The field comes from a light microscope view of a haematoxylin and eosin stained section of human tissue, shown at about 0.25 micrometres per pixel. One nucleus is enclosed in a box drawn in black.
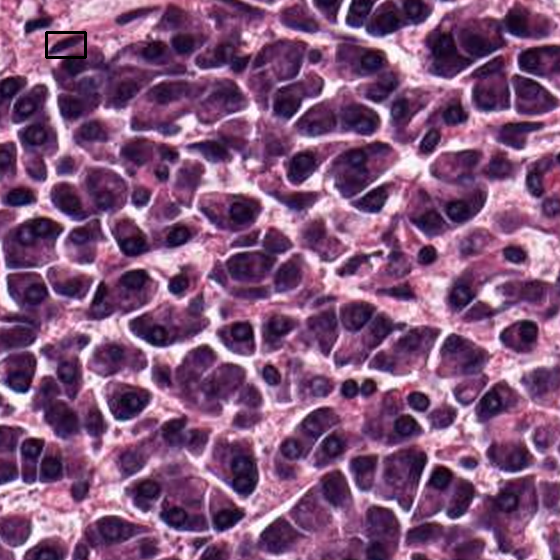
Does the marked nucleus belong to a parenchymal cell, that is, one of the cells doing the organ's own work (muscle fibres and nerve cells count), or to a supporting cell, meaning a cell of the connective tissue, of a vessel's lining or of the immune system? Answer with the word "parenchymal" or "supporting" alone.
supporting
